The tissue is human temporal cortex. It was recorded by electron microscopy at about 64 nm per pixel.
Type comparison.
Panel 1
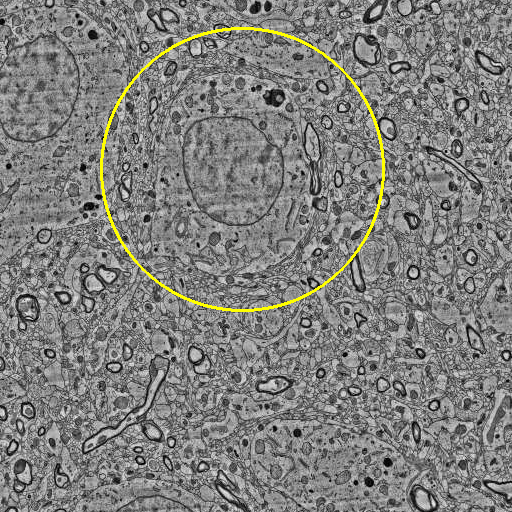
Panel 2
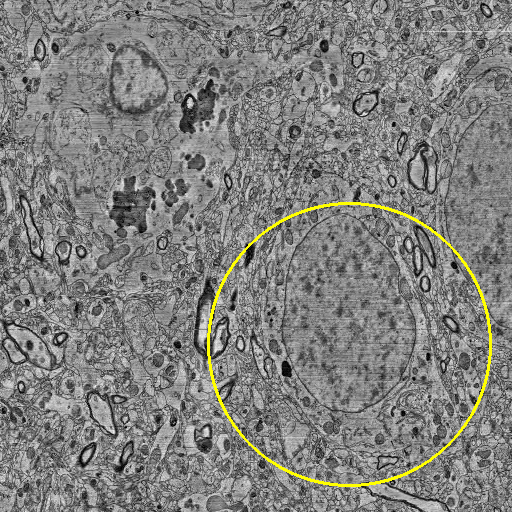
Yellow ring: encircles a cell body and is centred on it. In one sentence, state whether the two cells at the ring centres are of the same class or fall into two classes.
In these panels, the two cells at the ring centres are of the same class.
